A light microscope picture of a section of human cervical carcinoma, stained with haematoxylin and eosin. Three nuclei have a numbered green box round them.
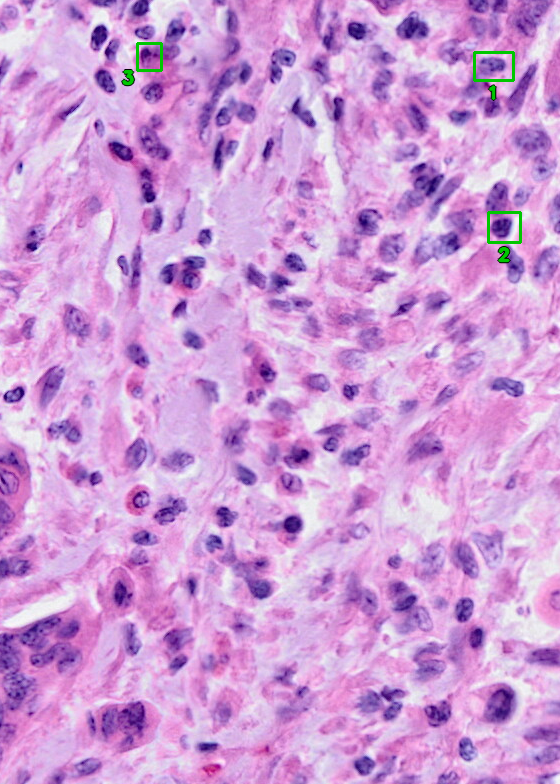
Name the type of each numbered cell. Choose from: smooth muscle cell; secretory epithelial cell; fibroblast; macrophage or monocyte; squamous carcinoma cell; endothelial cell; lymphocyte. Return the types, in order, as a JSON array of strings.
["lymphocyte", "lymphocyte", "macrophage or monocyte"]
